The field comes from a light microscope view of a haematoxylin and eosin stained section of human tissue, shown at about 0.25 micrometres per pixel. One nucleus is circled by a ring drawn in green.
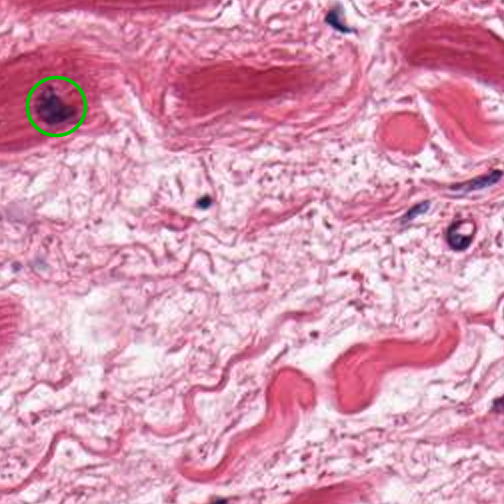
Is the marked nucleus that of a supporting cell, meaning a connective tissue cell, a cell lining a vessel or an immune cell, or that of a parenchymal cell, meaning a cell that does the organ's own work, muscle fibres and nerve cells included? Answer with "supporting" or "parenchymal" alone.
parenchymal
